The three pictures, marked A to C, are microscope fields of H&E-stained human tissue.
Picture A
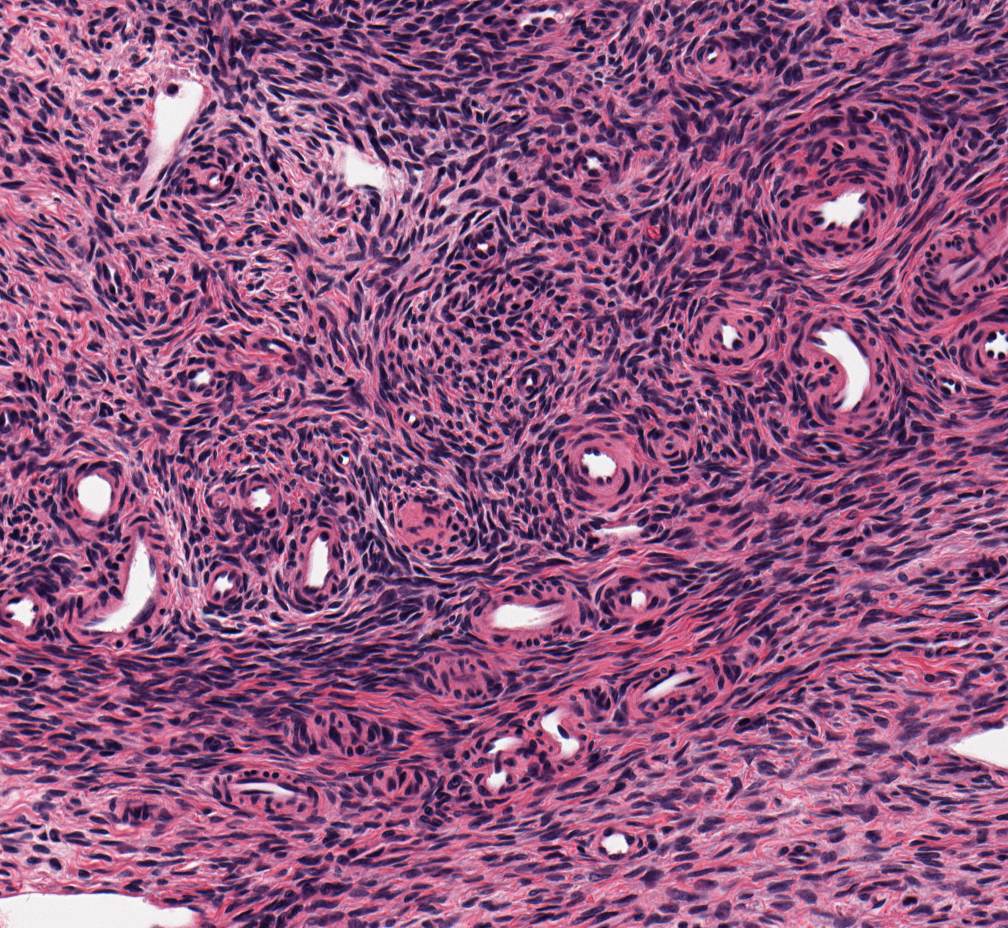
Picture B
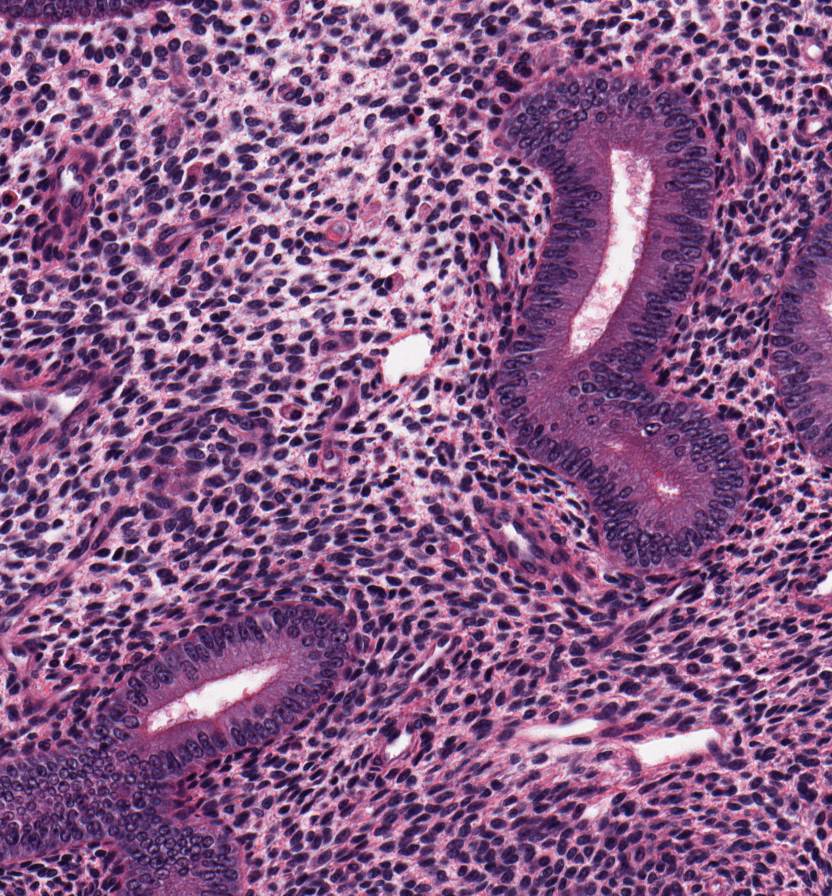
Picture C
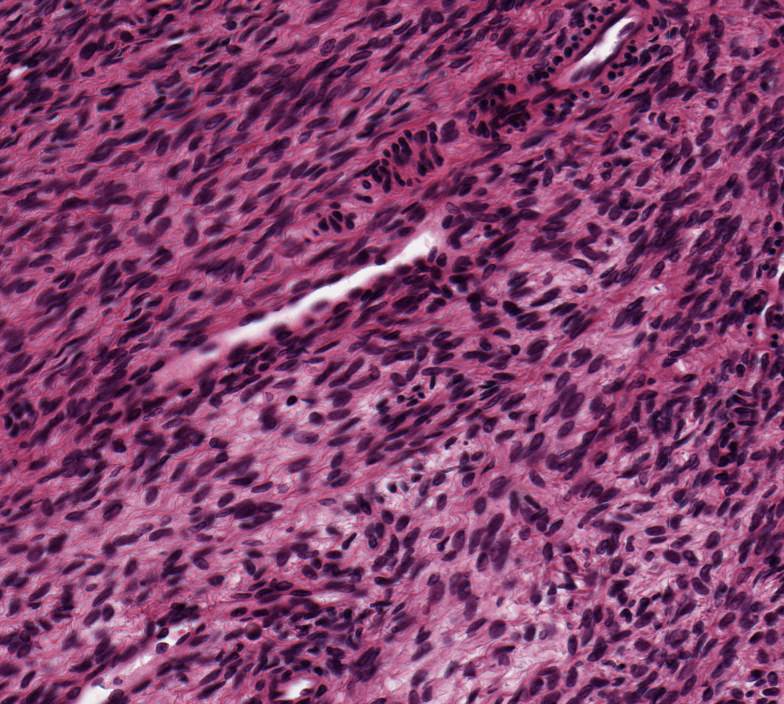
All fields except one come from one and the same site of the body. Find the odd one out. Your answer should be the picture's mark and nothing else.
B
